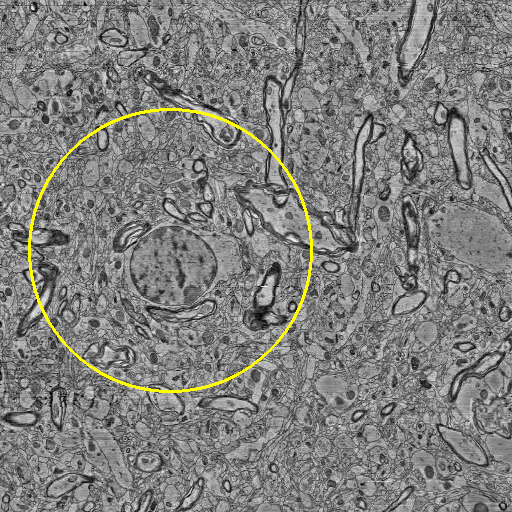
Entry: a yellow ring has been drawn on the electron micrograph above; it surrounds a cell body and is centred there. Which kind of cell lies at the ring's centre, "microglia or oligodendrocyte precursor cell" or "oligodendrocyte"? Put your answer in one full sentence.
The cell sitting at the ring's centre is a microglial cell or oligodendrocyte precursor cell in the micrograph above.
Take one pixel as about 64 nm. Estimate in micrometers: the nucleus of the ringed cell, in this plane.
The ringed cell's nucleus is about 6 micrometres across in this plane.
